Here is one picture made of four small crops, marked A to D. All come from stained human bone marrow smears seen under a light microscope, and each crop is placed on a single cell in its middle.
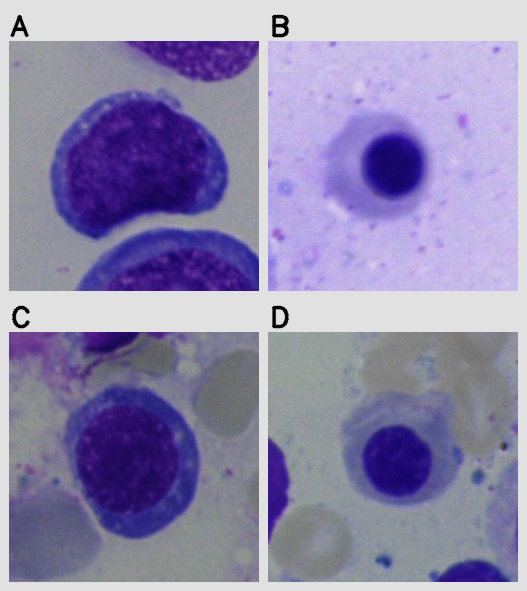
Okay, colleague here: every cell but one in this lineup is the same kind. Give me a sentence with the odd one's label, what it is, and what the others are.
Every crop but one shows erythroblasts; the exception, crop A, shows a blast.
